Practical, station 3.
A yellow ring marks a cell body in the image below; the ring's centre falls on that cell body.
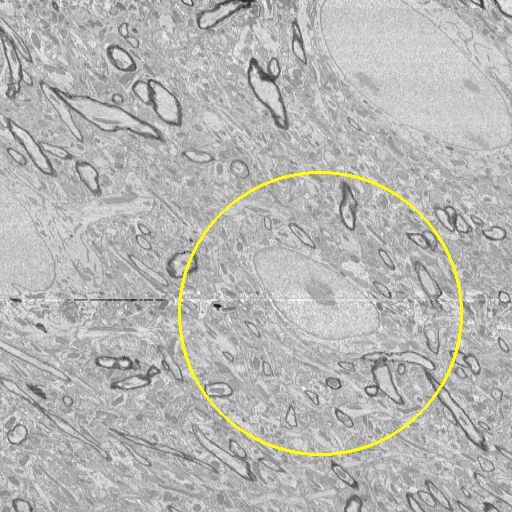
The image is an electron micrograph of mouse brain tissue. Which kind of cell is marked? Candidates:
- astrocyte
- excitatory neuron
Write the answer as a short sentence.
The marked cell body is that of an astrocyte.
